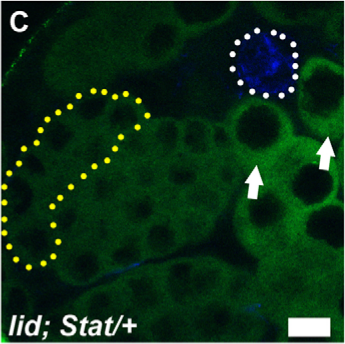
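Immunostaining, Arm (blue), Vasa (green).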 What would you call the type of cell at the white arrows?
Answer: Spermatocytes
